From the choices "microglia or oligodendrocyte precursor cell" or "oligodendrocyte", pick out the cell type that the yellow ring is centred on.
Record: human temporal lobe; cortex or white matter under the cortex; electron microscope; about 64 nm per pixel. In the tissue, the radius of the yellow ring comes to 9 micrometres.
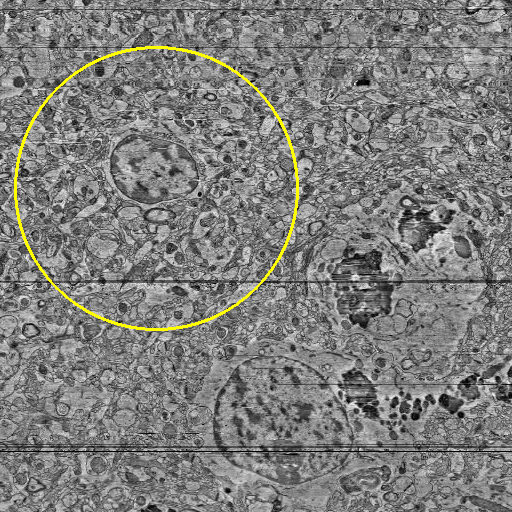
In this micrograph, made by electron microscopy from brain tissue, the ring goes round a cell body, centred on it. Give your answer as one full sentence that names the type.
The yellow ring is centred on a microglial cell or oligodendrocyte precursor cell, whose cell body it encircles in the picture.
